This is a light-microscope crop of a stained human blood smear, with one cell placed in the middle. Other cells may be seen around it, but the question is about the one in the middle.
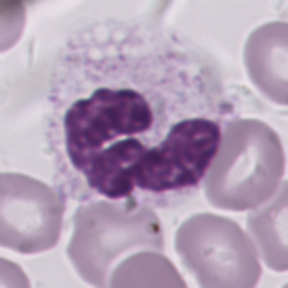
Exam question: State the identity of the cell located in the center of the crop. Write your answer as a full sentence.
The central cell in this smear crop is a segmented neutrophil.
